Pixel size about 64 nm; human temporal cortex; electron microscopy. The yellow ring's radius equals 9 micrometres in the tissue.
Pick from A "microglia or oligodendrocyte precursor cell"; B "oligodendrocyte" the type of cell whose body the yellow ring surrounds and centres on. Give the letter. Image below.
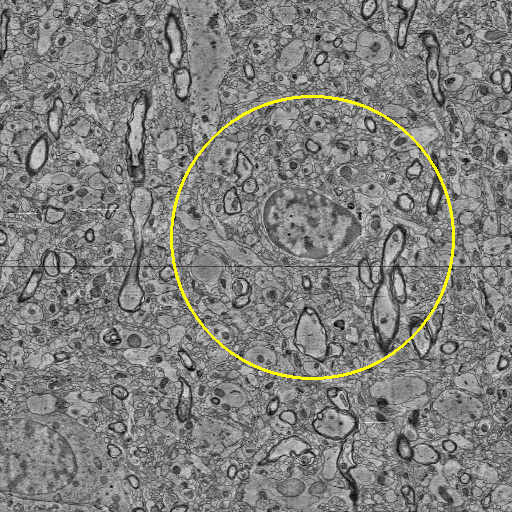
A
